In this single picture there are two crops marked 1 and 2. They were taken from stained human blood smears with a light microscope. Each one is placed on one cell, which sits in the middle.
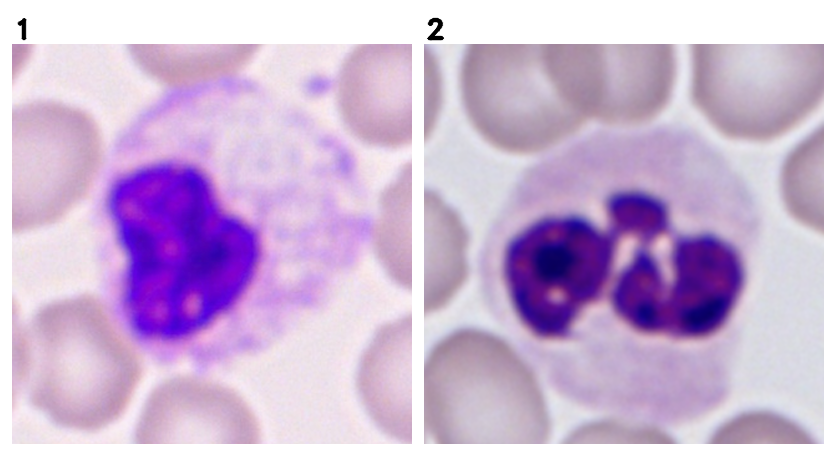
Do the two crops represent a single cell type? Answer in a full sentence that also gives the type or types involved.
Yes, the crops both have segmented neutrophils in the middle.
